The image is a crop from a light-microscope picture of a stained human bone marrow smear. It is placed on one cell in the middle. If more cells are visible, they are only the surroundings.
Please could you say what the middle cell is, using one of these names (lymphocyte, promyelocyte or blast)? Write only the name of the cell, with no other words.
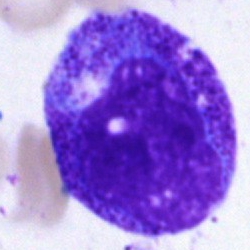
promyelocyte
